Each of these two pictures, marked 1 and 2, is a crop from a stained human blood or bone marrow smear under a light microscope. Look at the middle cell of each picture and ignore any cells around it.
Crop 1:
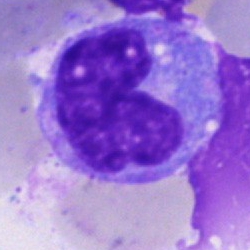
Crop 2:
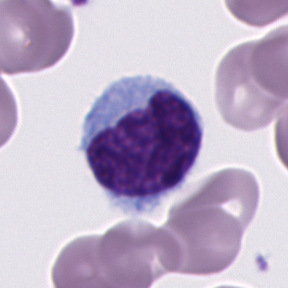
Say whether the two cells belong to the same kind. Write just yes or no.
yes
